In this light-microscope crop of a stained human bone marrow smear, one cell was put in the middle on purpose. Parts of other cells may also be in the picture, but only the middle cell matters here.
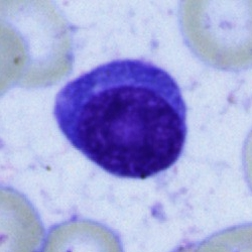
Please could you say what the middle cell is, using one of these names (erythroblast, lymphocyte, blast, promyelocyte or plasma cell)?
plasma cell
